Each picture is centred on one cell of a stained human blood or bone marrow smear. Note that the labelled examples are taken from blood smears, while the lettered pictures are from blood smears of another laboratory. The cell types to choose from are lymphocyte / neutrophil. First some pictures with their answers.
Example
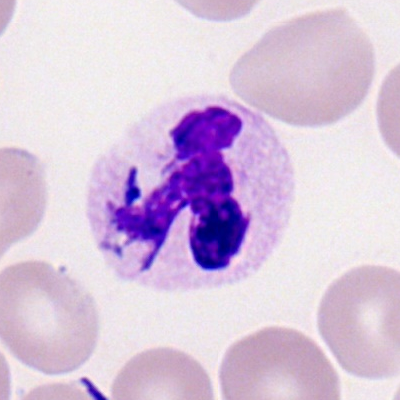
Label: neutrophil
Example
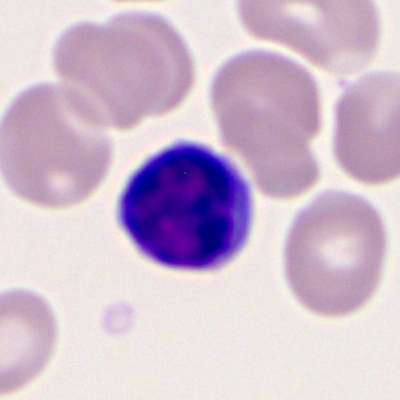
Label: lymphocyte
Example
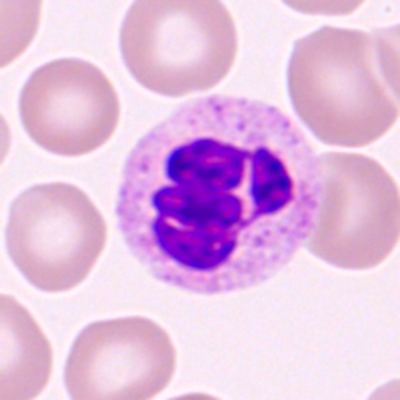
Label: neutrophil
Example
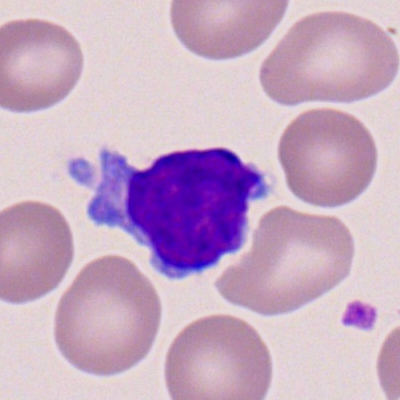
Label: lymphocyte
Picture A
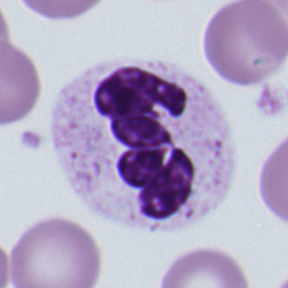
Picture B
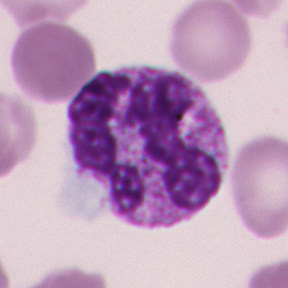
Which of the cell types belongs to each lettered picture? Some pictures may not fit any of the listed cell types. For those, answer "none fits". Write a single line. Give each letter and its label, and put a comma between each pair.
A neutrophil, B neutrophil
